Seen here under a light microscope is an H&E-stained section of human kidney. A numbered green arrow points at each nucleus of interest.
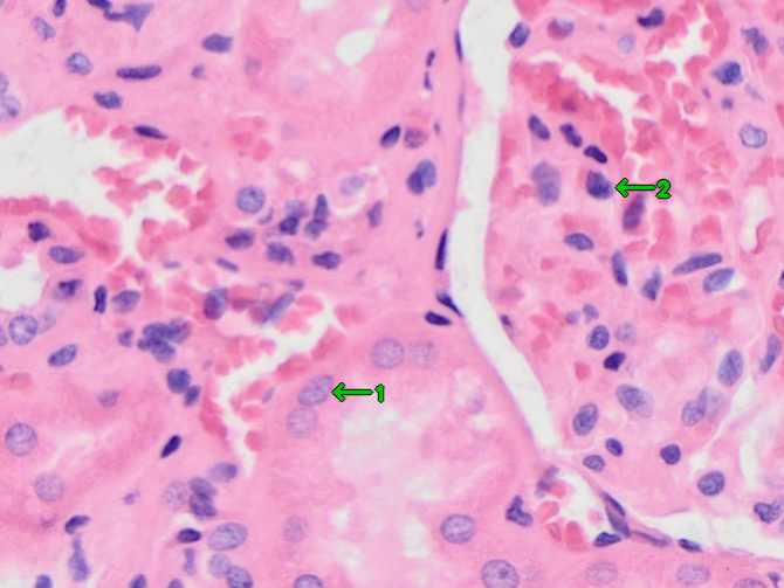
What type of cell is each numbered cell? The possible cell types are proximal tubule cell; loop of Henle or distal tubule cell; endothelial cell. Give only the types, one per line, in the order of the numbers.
proximal tubule cell
endothelial cell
